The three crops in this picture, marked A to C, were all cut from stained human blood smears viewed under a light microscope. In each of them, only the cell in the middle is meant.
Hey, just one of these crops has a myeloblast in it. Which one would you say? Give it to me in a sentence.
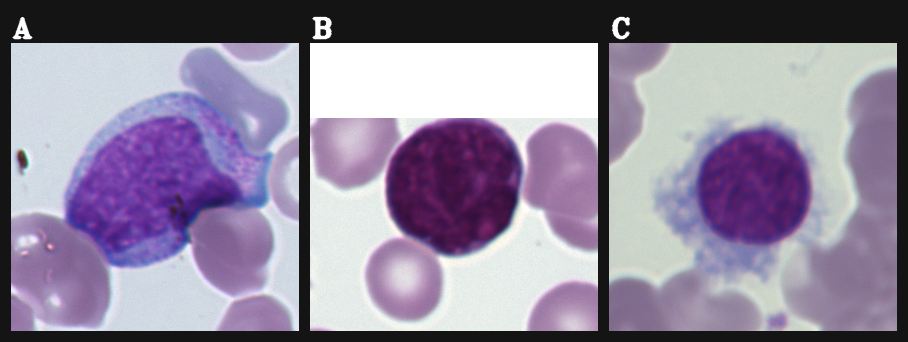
Of all the crops, crop B is the one showing a myeloblast.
